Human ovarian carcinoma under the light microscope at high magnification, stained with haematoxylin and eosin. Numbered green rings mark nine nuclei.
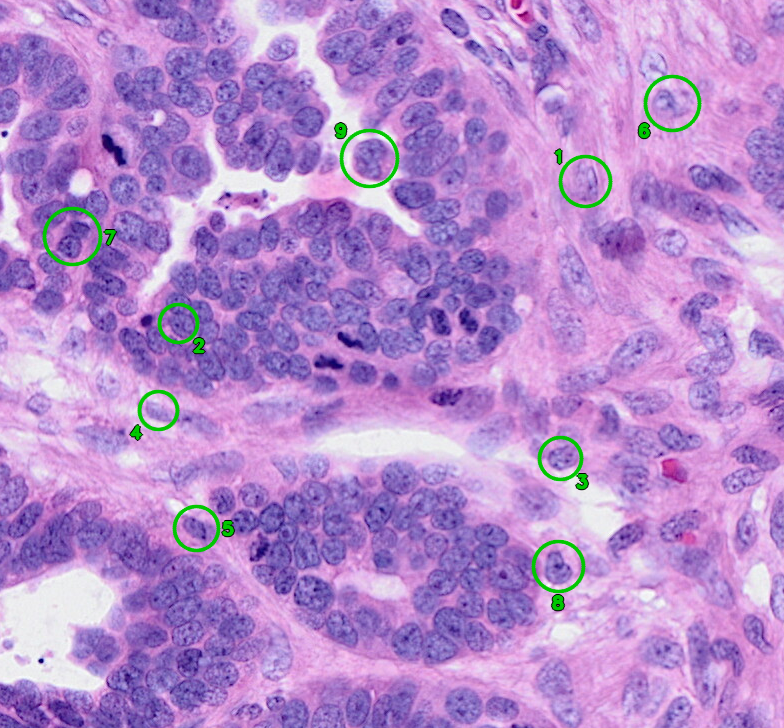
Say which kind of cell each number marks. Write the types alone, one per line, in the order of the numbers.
fibroblast
carcinoma cell
macrophage or monocyte
fibroblast
macrophage or monocyte
fibroblast
carcinoma cell
macrophage or monocyte
carcinoma cell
